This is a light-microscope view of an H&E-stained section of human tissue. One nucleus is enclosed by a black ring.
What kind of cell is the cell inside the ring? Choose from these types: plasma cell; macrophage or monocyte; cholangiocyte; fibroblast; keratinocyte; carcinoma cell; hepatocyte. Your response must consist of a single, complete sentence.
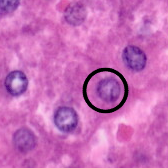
For cell typing purposes, the cell inside the ring is a hepatocyte.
